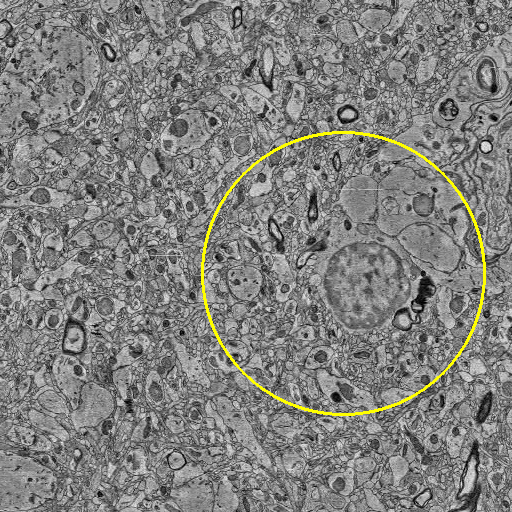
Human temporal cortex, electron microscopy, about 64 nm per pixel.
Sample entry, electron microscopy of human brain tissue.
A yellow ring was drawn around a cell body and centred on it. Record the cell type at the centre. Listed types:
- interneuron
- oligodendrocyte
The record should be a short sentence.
The cell at the ring's centre is an oligodendrocyte.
